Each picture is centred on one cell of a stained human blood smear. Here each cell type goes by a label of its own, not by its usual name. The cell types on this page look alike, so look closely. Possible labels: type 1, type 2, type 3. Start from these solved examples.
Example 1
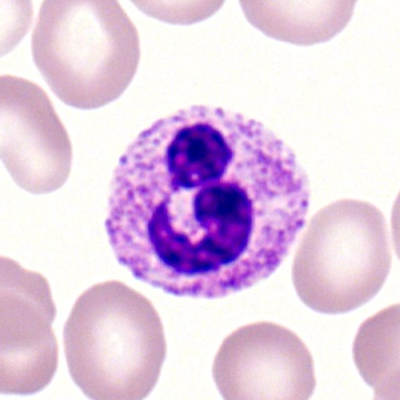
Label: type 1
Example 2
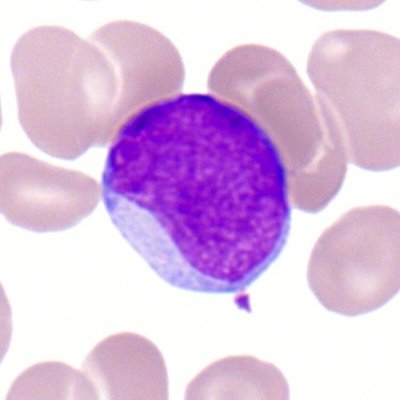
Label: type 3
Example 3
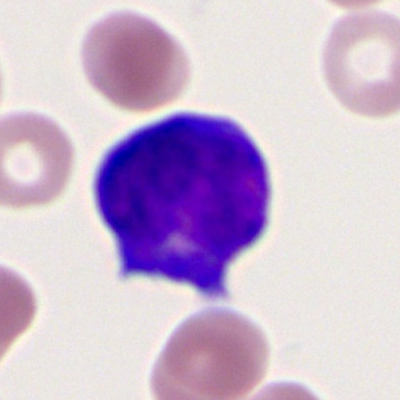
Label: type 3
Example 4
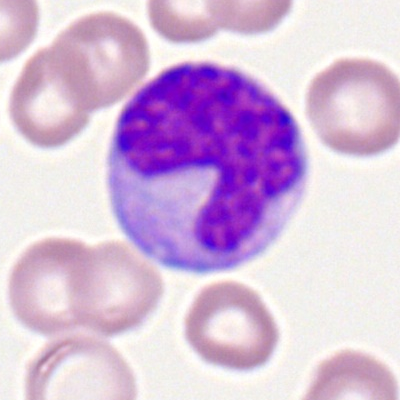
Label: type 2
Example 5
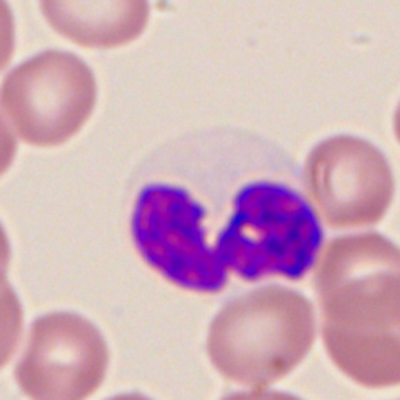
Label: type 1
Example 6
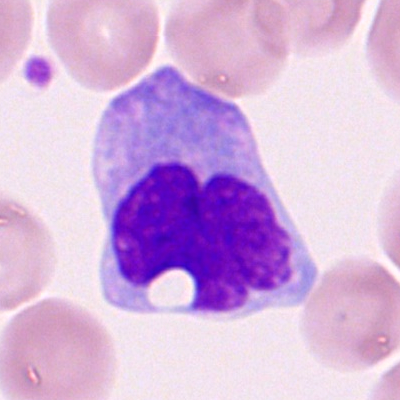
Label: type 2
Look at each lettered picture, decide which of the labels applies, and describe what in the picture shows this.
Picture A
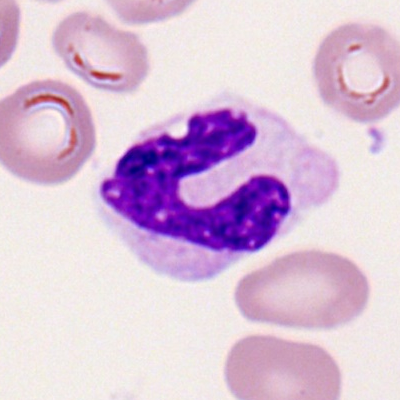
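type 1. Reason: The nucleus is a curved, U-shaped band whose opening faces the right side of the cell.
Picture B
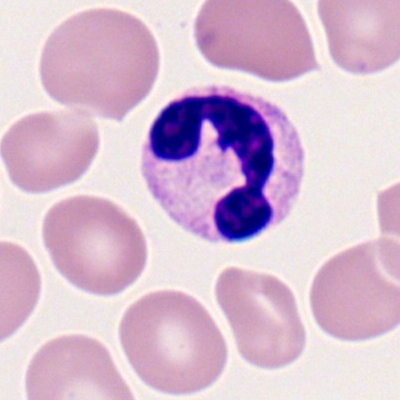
type 1. Reason: The nucleus is a curved, C-shaped band that runs around the edge of the cell.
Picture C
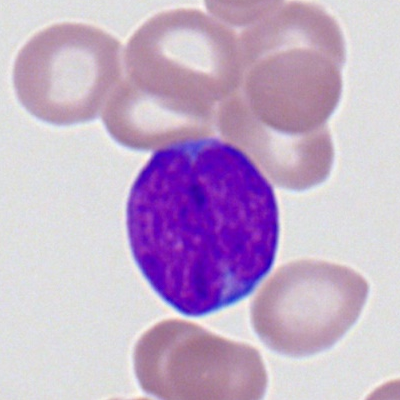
type 3. Reason: The cytoplasm is only a scant rim of pale blue around the nucleus.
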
